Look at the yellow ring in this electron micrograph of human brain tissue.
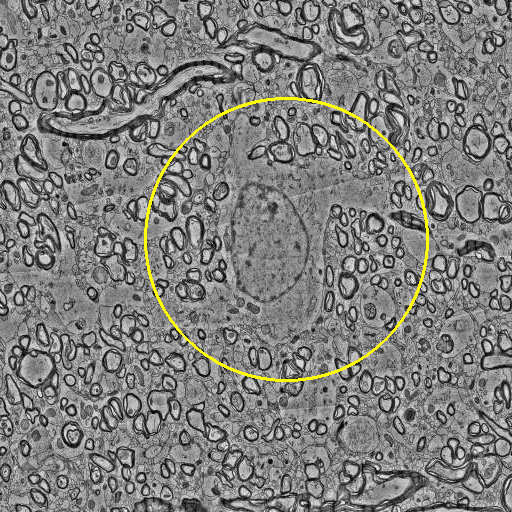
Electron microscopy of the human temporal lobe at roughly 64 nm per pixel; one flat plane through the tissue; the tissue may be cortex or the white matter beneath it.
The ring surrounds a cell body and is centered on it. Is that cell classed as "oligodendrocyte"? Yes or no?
No, it is of another kind.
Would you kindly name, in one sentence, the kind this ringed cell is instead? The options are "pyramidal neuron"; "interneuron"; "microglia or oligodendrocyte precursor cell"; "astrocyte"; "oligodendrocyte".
The ring's central cell is a microglial cell or oligodendrocyte precursor cell instead.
